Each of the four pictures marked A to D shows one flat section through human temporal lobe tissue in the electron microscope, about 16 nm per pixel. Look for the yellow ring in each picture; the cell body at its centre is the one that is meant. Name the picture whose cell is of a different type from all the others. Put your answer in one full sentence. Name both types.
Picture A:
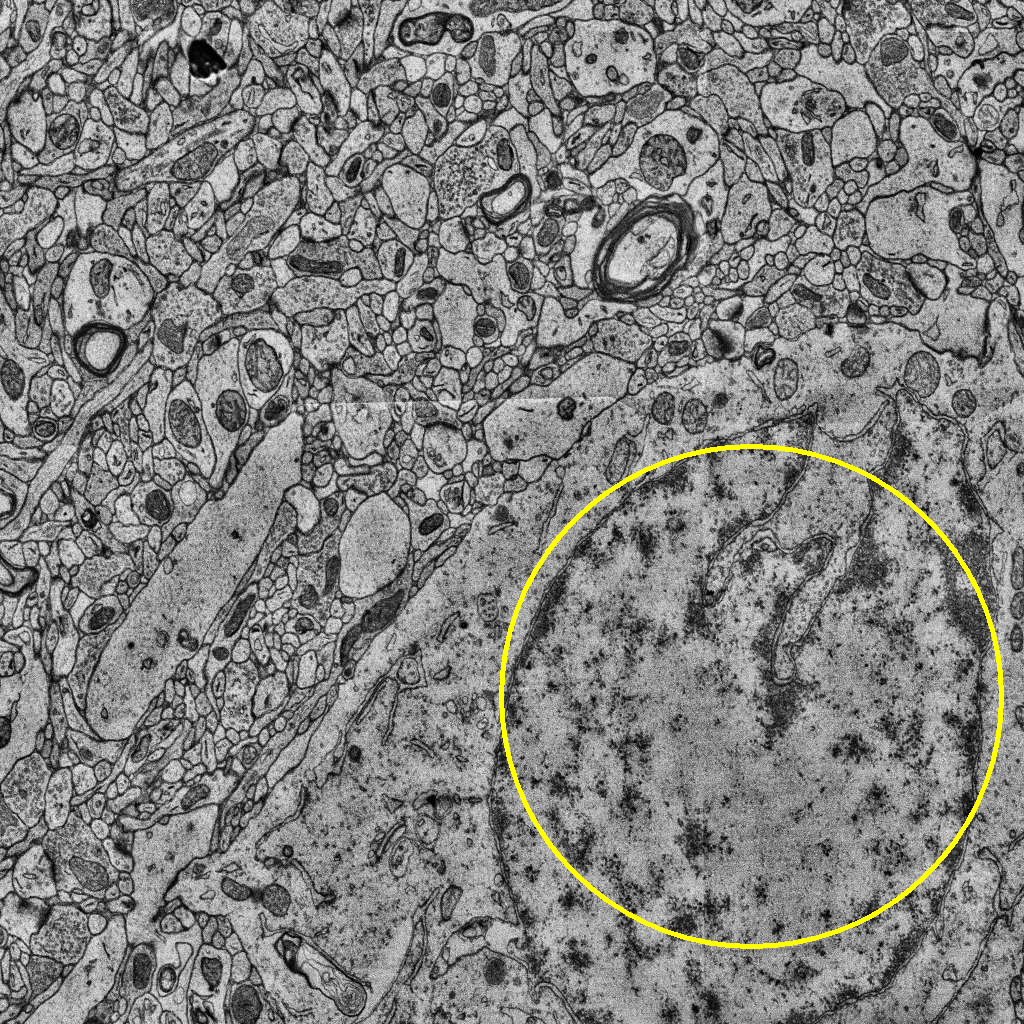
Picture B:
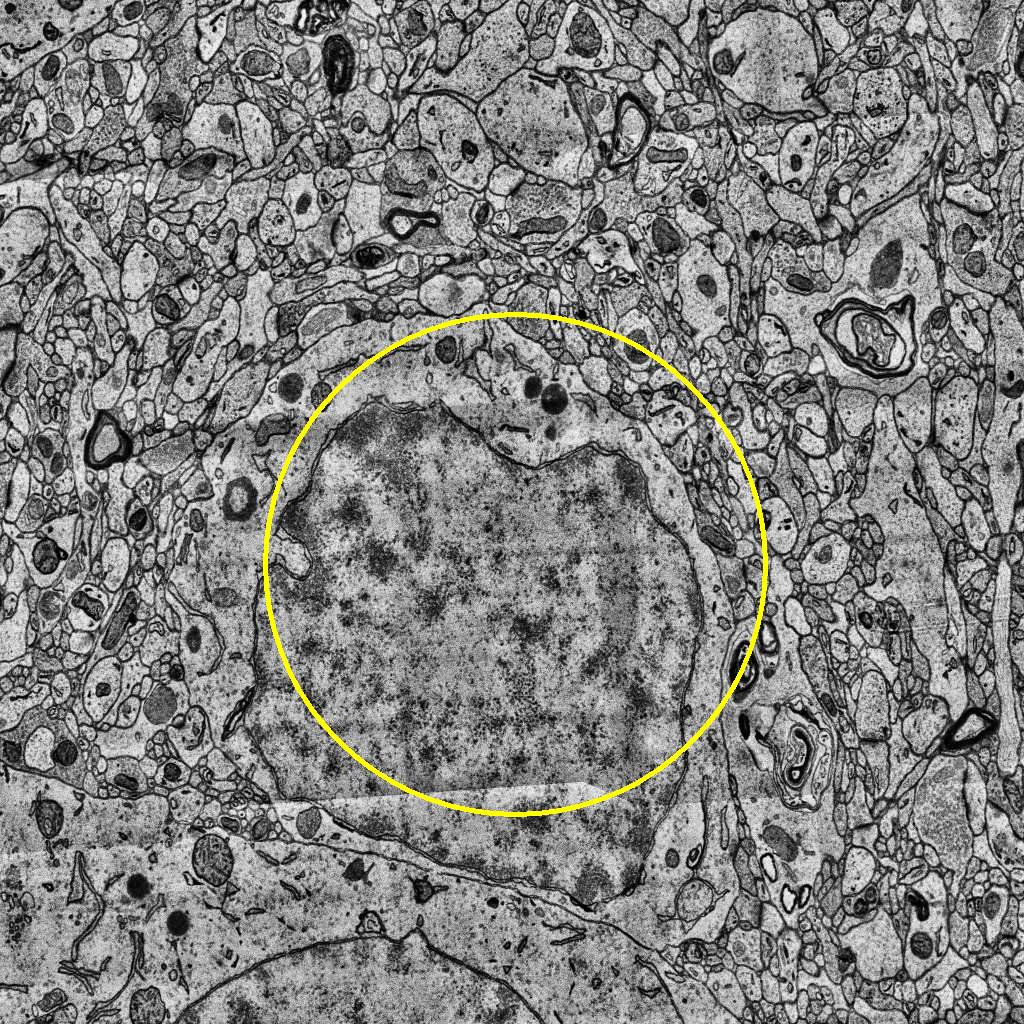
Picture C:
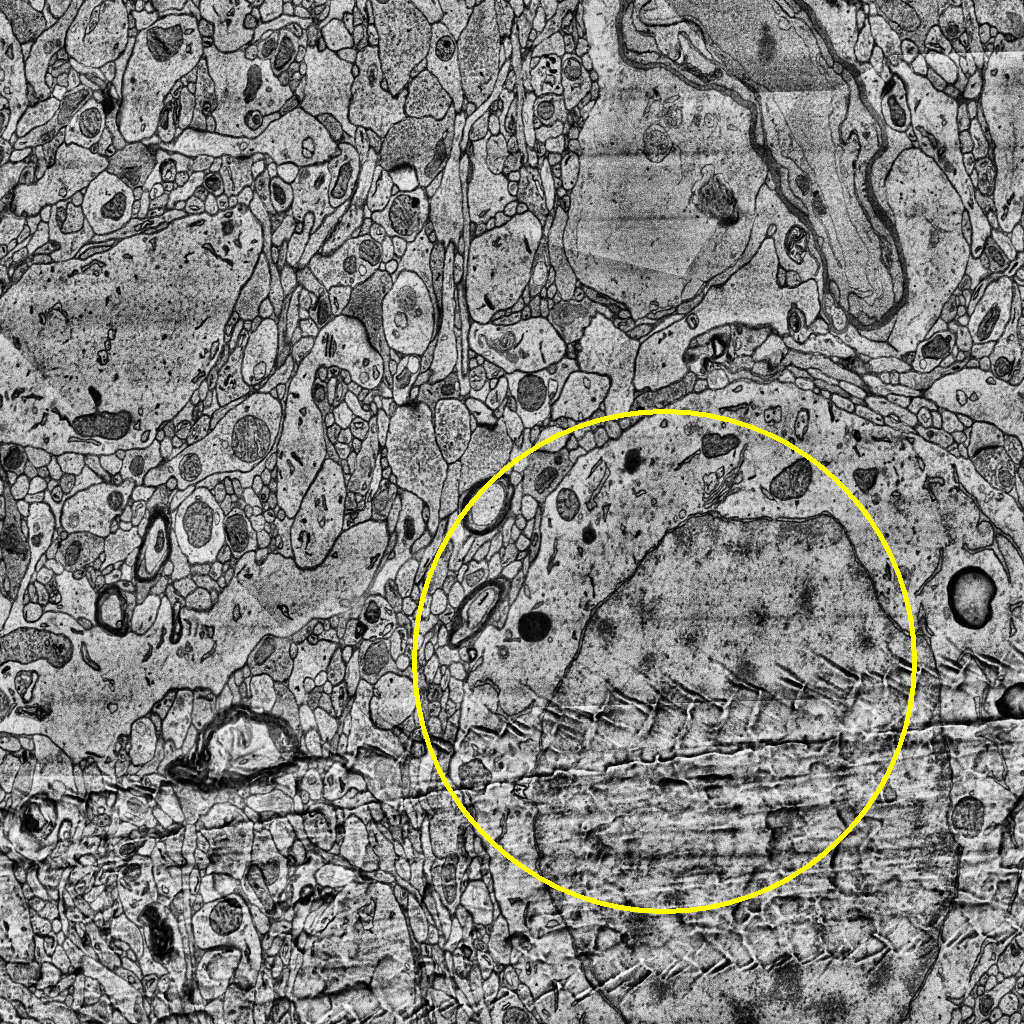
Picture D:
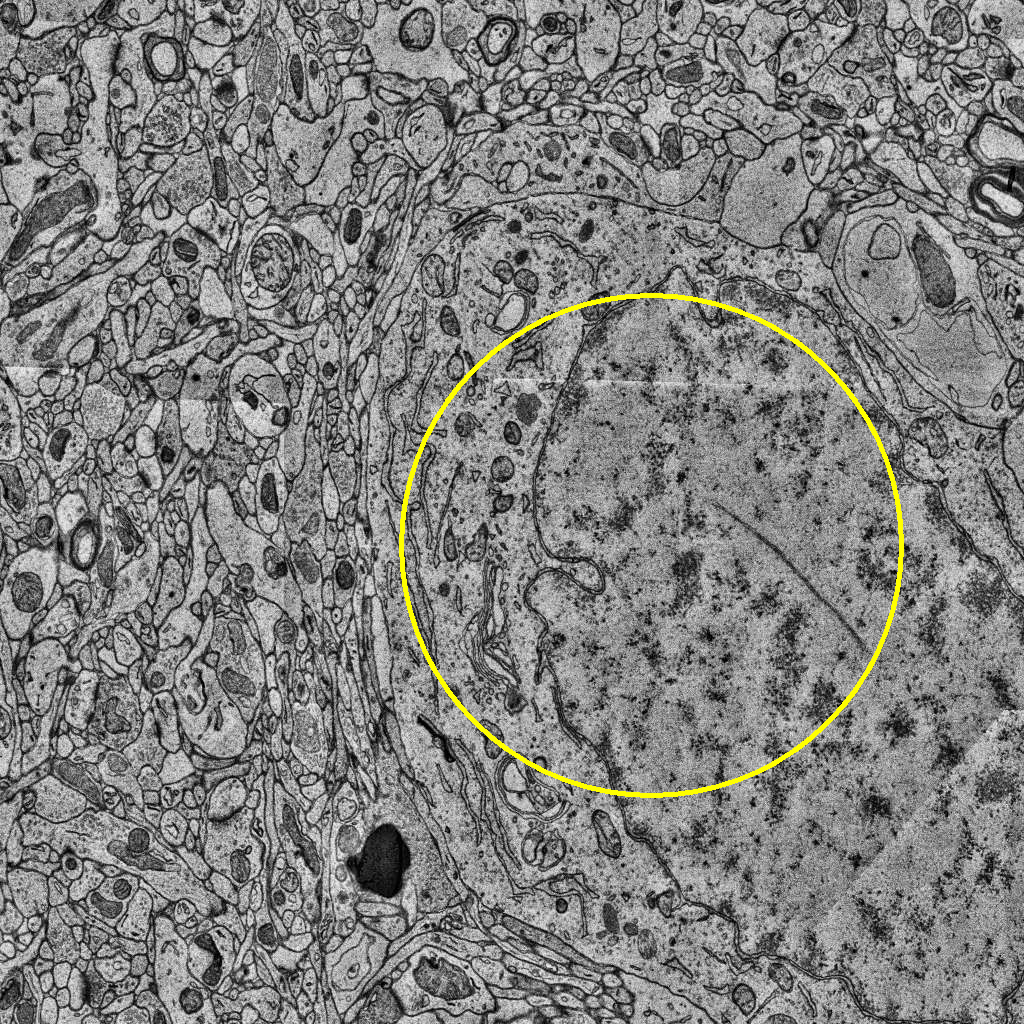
Unlike the rest, which show interneurons, picture C shows a pyramidal neuron.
